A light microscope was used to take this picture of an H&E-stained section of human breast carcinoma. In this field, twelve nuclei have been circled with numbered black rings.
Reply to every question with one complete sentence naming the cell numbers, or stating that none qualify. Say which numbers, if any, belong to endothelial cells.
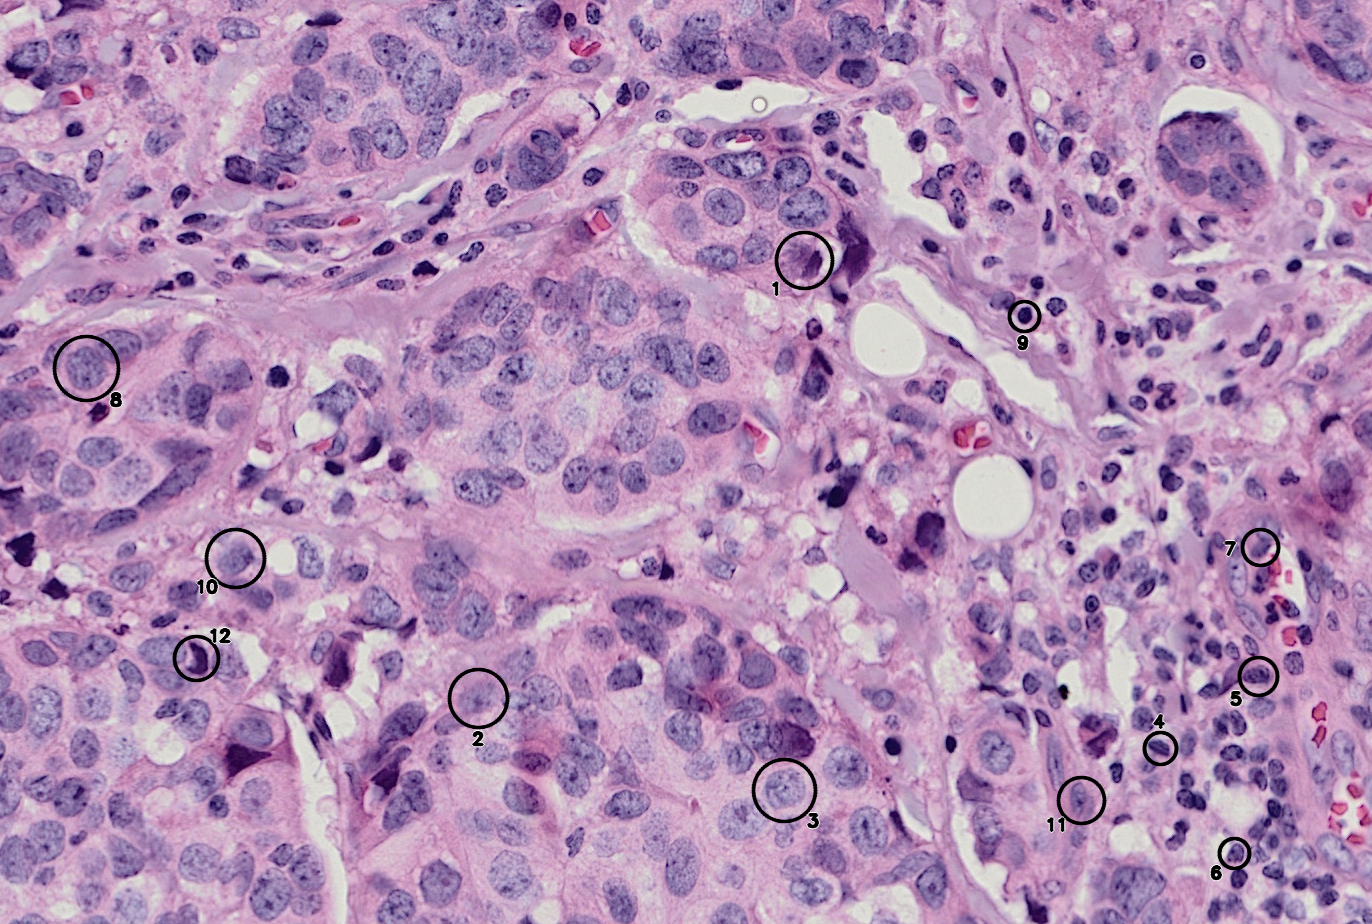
The cells referred to by the numbers 7 and 11 are endothelial cells.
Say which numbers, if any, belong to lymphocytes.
Cells 4, 5, 6 and 9 share one type; they are lymphocytes.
